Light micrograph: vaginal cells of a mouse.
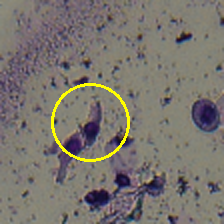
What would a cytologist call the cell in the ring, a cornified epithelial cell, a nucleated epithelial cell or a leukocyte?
A cytologist would call it a nucleated epithelial cell.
